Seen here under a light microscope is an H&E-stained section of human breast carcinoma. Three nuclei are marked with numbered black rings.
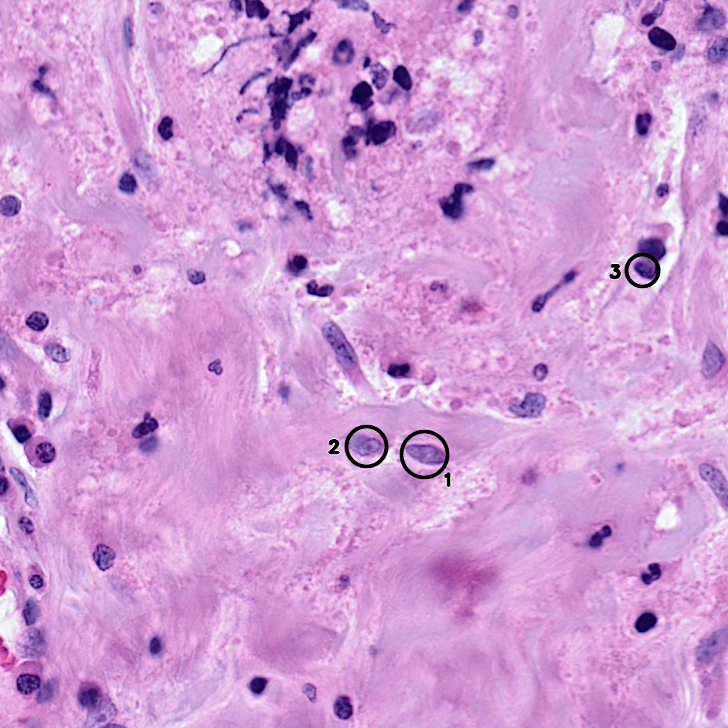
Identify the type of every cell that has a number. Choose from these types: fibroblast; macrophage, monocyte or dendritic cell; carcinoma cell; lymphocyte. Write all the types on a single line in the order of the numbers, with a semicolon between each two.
fibroblast; fibroblast; lymphocyte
